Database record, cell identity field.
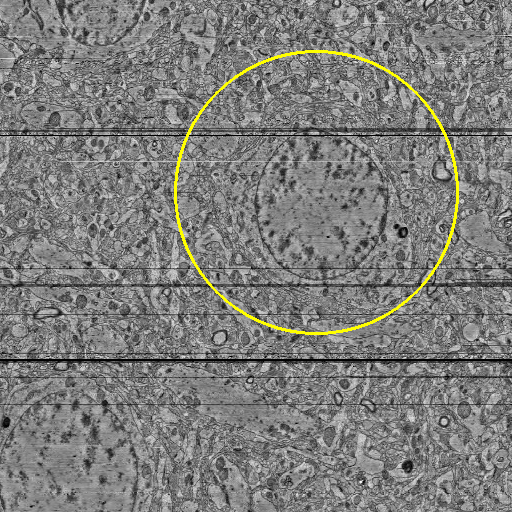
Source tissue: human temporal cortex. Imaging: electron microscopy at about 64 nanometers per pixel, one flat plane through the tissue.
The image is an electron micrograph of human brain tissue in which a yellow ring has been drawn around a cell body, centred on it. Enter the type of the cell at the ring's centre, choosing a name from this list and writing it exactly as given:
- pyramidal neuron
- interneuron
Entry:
pyramidal neuron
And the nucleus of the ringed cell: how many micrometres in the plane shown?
The nucleus comes to roughly 10 by 9 micrometres in this plane.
